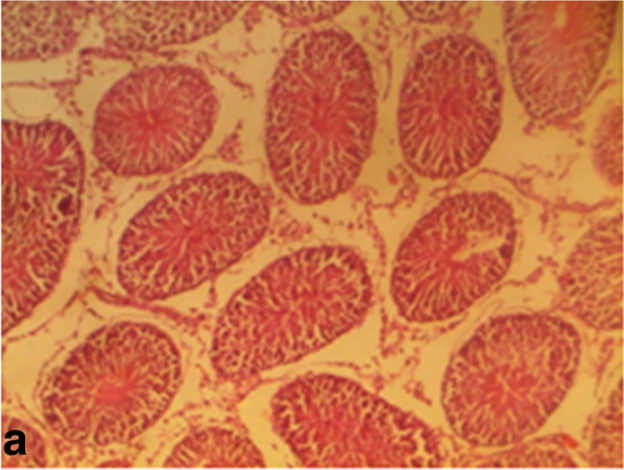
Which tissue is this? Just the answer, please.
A: testes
